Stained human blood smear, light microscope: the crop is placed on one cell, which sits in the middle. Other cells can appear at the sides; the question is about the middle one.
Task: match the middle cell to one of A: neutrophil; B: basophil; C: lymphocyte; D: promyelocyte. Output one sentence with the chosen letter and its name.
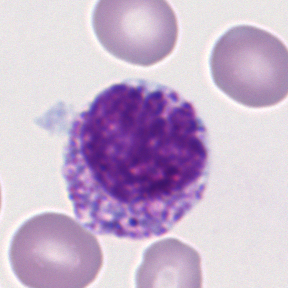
According to option B, which is correct, the cell in the middle is a basophil.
